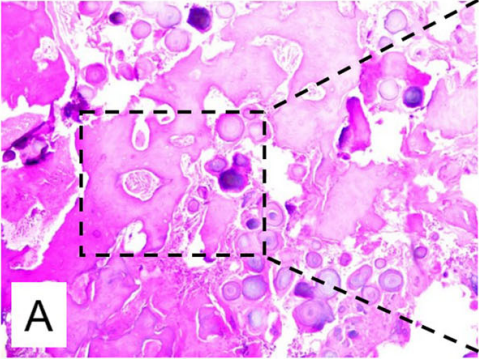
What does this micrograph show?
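At low power the lesion is made of irregular pink trabeculae of immature bone interspersed with many psammoma bodies. The psammoma bodies are small round structures with concentric layering, some pale and some deep purple. They cluster in the loose stroma between the bony trabeculae. The bone shows small lacunae and occasional rounded spaces. Cellular stroma is scant.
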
